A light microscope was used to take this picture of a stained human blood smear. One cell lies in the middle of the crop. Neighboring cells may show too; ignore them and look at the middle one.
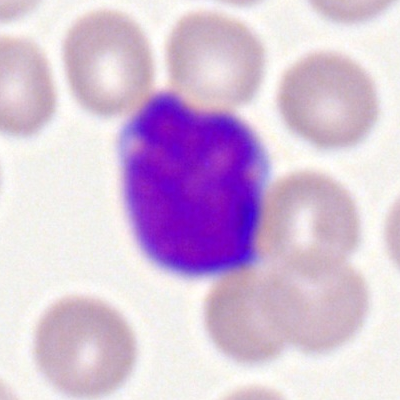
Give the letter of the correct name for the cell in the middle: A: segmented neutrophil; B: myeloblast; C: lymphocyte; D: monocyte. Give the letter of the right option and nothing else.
B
